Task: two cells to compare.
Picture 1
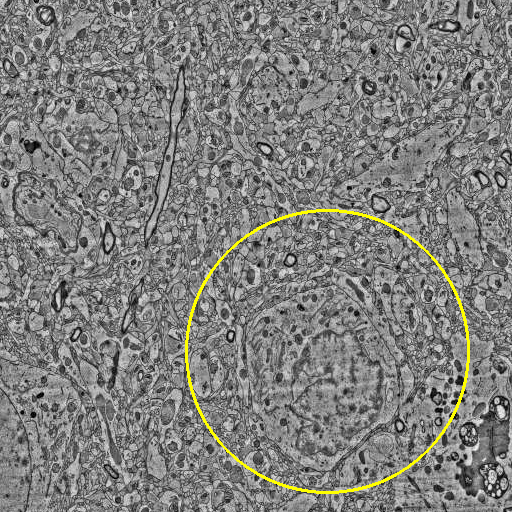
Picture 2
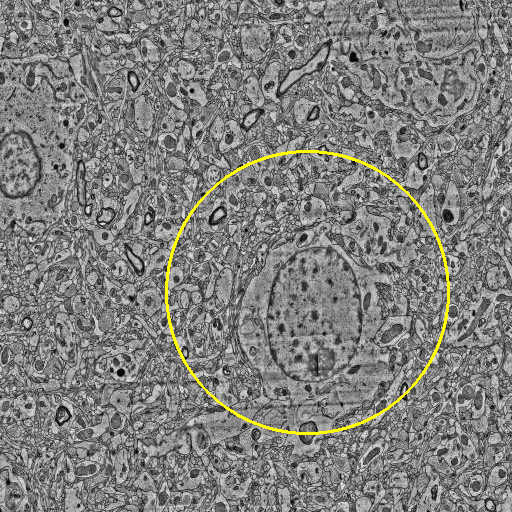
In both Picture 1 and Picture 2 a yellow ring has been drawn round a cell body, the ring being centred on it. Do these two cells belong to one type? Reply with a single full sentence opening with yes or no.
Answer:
No, the two cells at the ring centres in Picture 1 and Picture 2 are of two types.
